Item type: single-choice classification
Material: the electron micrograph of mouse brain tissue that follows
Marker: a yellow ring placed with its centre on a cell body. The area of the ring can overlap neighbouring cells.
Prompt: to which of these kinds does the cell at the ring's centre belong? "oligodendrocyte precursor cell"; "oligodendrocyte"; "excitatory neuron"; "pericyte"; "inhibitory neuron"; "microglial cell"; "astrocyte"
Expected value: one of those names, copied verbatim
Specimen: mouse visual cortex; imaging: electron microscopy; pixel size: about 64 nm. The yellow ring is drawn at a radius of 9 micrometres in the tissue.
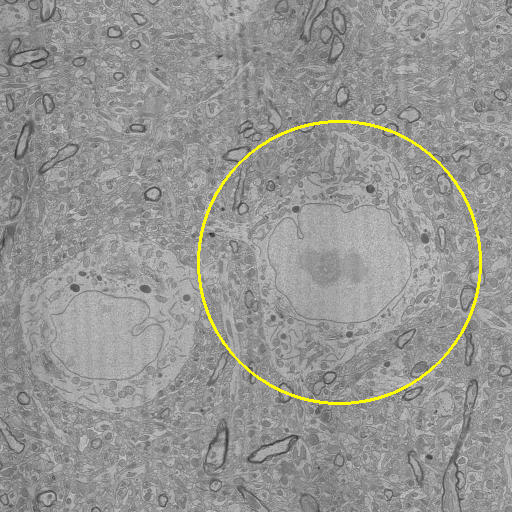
inhibitory neuron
